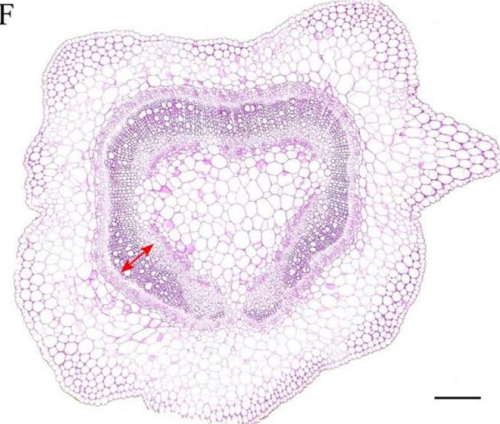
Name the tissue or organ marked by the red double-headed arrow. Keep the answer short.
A: xylem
